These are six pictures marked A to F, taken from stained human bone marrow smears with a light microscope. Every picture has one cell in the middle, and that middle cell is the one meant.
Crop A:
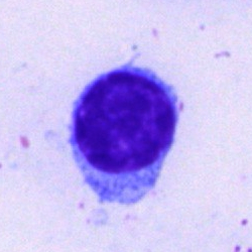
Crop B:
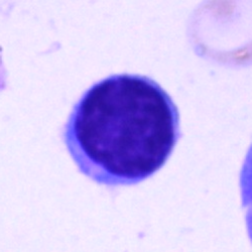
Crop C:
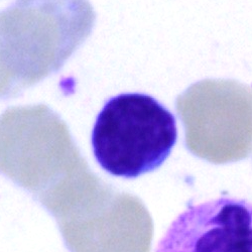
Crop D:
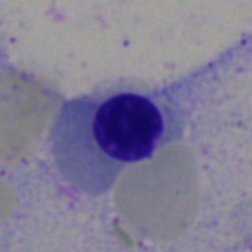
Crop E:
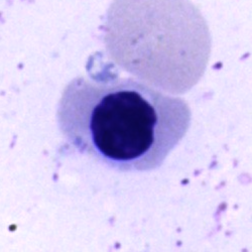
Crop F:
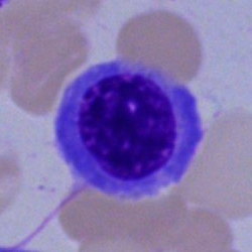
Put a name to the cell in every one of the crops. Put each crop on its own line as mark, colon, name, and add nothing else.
A: lymphocyte
B: lymphocyte
C: lymphocyte
D: normoblast
E: normoblast
F: normoblast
